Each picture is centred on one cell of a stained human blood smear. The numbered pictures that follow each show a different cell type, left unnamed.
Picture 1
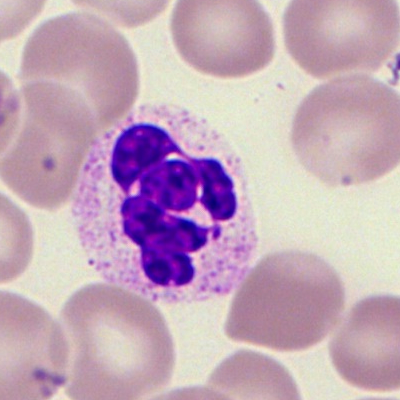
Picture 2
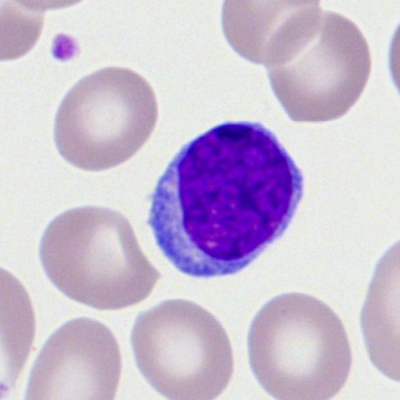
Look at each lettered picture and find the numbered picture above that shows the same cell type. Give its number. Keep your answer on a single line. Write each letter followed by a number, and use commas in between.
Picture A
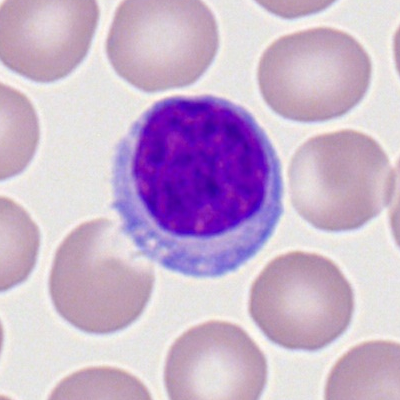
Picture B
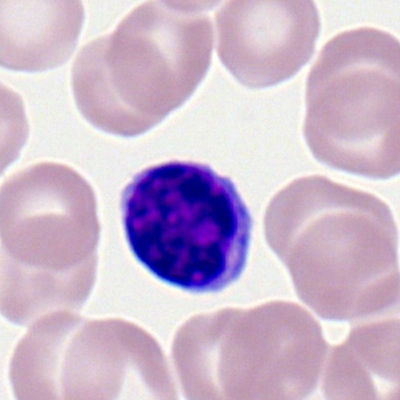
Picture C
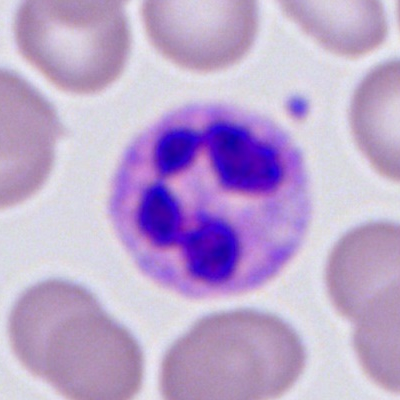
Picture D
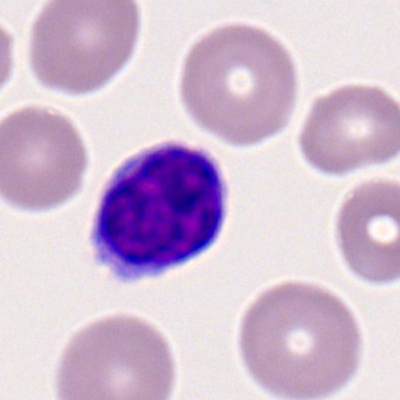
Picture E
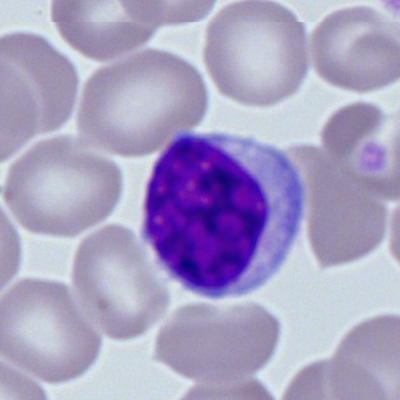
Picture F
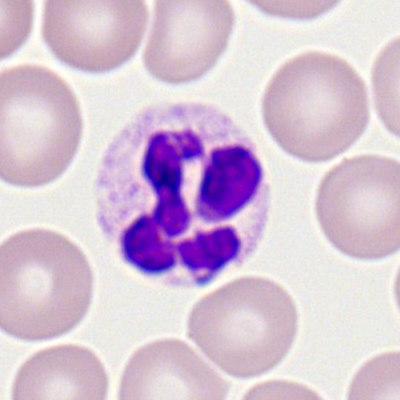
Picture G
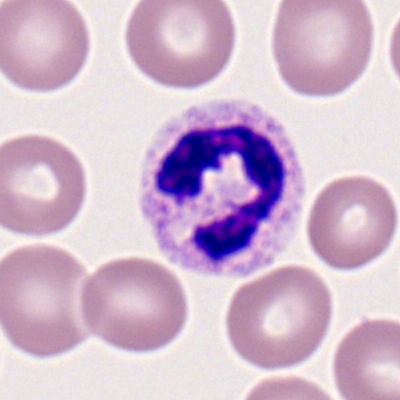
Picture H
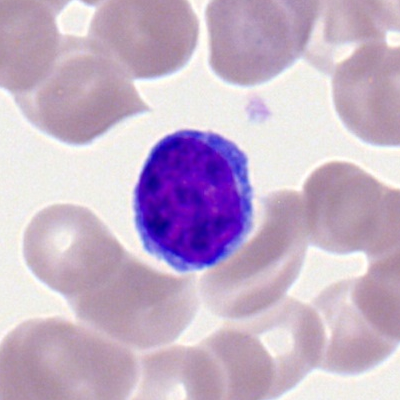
A 2, B 2, C 1, D 2, E 2, F 1, G 1, H 2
